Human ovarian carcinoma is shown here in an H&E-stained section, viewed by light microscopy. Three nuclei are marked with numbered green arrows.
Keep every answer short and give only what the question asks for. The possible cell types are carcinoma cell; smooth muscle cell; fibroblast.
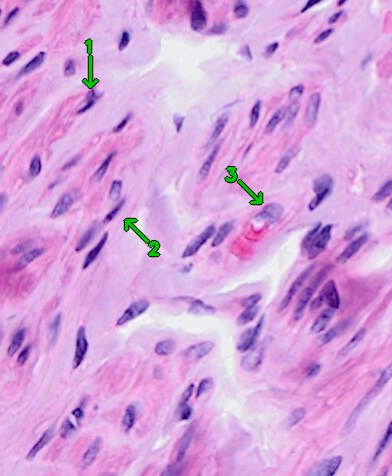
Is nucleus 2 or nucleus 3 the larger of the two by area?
3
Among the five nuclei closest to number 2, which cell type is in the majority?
smooth muscle cell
